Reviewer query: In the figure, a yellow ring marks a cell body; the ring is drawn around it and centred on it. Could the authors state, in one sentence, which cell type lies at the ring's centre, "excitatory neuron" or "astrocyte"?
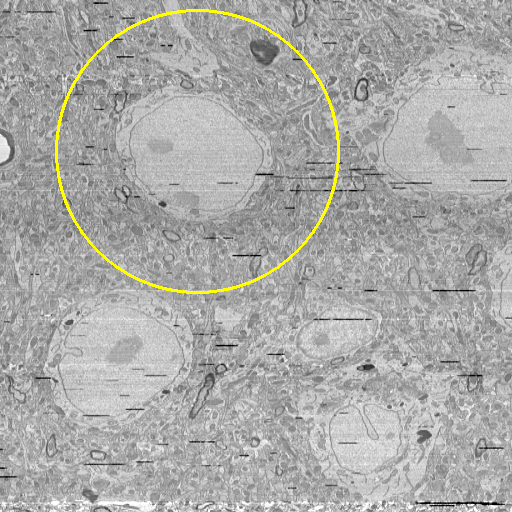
The ring is centred on an excitatory neuron.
